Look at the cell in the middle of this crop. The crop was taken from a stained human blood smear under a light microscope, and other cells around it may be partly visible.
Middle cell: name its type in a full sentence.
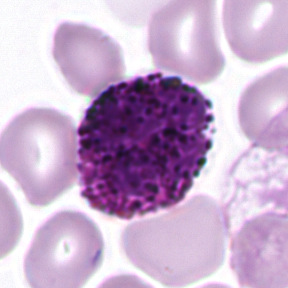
This crop's central cell is a basophil.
